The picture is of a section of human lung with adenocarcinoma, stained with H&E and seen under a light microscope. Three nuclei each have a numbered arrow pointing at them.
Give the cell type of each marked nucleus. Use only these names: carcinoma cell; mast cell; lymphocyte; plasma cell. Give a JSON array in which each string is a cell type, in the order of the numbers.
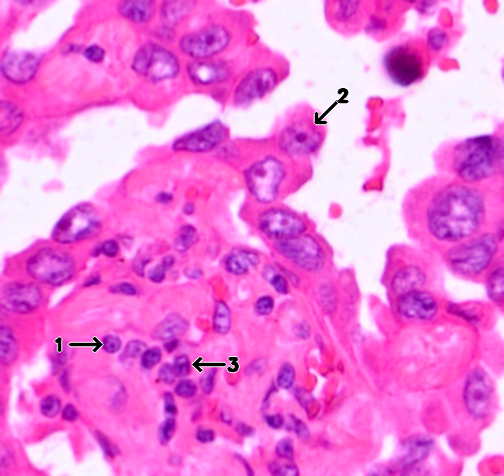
["lymphocyte", "carcinoma cell", "lymphocyte"]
